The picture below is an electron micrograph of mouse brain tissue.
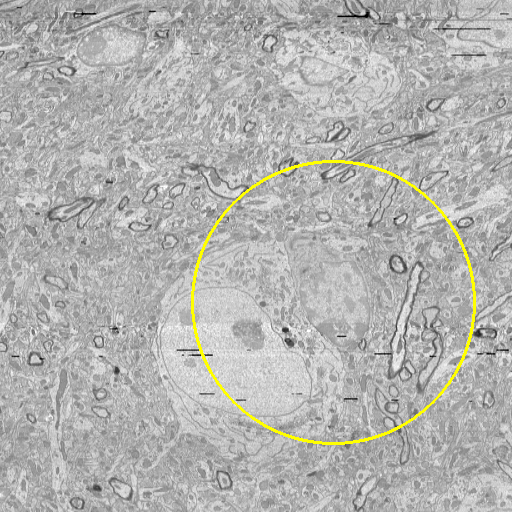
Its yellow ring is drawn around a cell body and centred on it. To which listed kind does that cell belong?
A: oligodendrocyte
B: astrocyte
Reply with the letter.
A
